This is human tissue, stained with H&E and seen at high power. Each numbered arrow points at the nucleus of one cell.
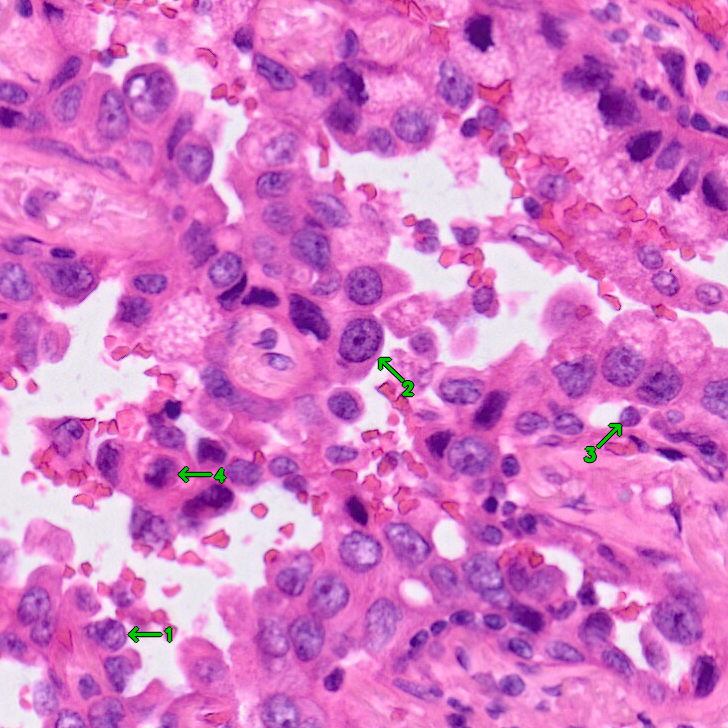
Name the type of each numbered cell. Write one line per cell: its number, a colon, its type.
1: carcinoma cell
2: carcinoma cell
3: lymphocyte
4: carcinoma cell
